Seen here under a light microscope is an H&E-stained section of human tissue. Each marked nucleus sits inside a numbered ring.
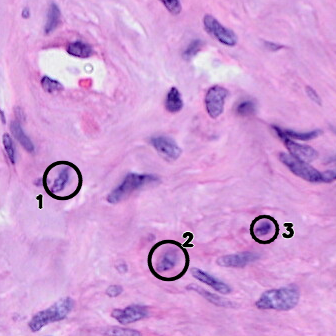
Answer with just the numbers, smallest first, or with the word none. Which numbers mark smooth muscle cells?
2, 3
